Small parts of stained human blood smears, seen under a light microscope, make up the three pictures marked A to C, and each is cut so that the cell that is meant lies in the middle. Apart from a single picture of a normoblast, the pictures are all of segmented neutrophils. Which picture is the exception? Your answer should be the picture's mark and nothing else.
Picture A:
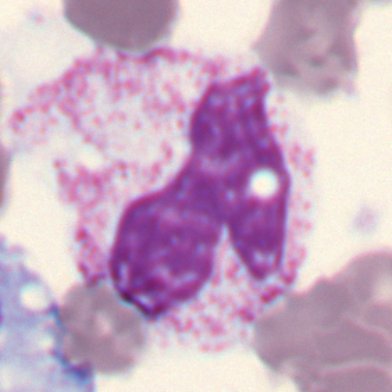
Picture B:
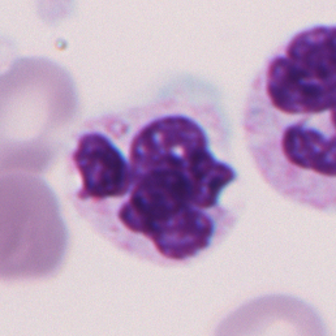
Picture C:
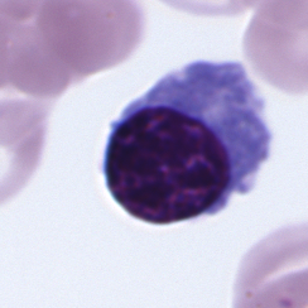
C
